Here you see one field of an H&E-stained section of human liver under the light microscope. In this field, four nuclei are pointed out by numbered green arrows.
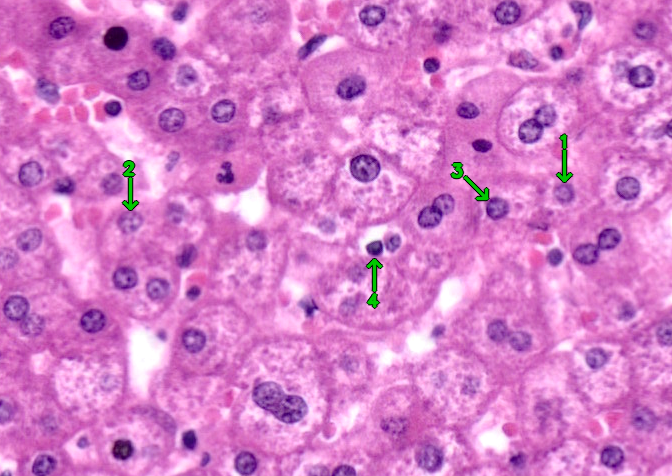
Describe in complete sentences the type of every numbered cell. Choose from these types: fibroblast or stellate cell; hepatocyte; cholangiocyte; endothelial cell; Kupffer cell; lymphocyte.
Cell 1 is a hepatocyte, cell 2 is a hepatocyte, cell 3 is a hepatocyte and cell 4 is a lymphocyte.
